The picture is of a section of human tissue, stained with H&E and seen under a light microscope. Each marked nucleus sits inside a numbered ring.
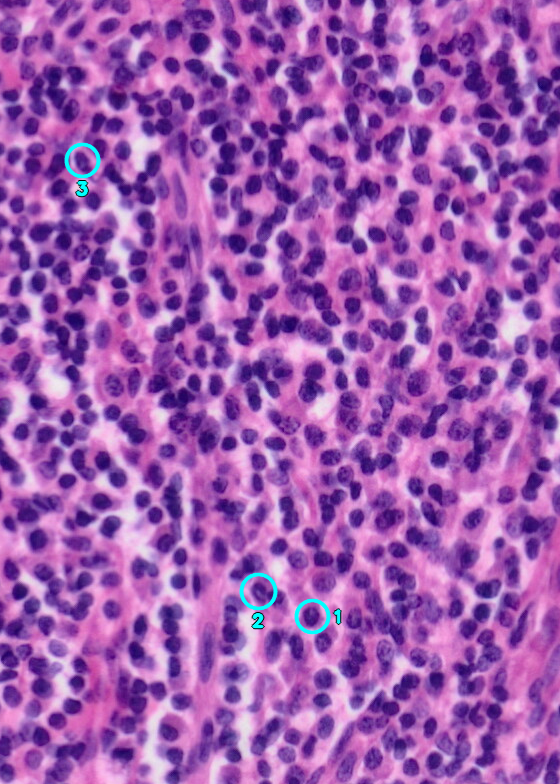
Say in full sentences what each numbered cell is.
Cells 1 and 2 are plasma cells. Cell 3 is a small lymphocyte.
